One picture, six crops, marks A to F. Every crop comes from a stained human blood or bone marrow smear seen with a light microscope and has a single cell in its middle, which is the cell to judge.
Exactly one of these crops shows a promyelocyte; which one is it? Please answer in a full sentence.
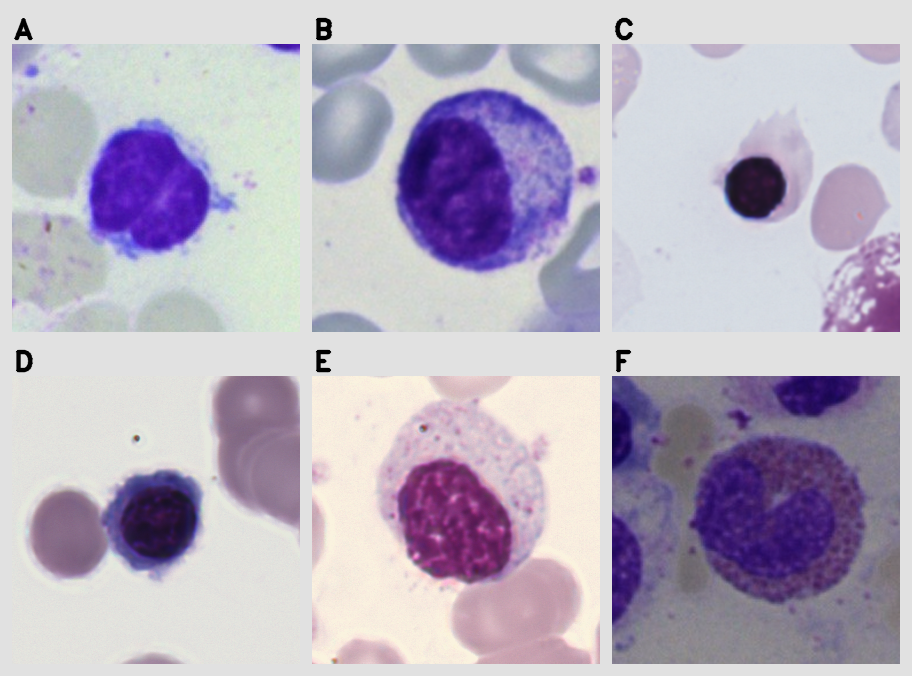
Identified crop: B, the one that shows a promyelocyte.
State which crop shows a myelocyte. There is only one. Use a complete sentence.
When the crops are compared, crop E is the one showing a myelocyte.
